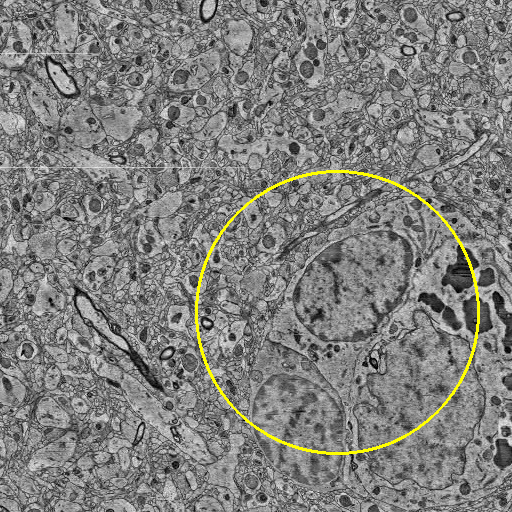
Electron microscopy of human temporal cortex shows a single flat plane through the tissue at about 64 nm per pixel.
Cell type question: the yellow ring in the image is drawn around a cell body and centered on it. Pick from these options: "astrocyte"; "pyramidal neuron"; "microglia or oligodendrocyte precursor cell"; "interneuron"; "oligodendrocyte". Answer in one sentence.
The ringed cell at the center is a microglial cell or oligodendrocyte precursor cell.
